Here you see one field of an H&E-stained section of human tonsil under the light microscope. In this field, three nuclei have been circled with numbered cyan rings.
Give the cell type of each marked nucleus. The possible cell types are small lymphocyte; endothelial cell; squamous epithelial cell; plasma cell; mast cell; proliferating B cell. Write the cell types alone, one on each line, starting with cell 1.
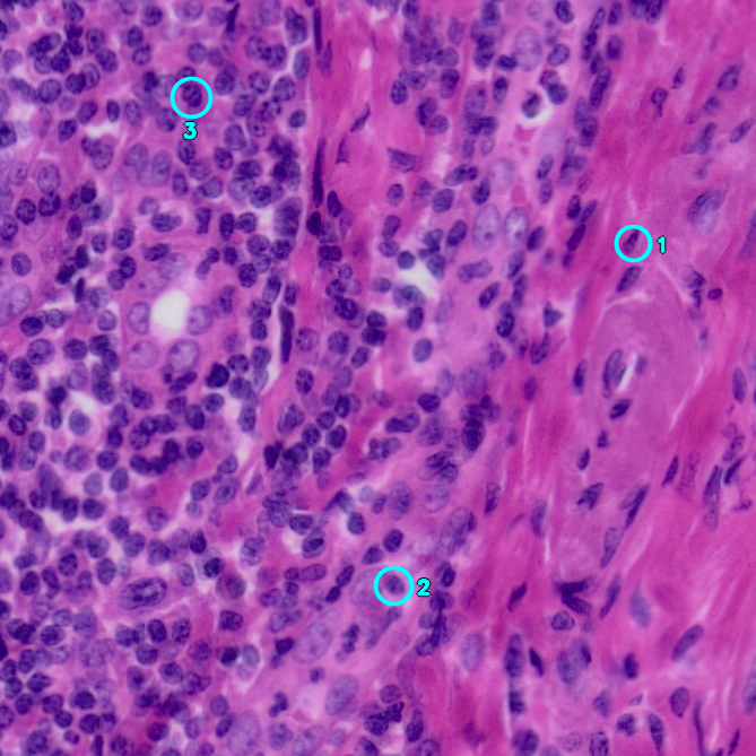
mast cell
endothelial cell
plasma cell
